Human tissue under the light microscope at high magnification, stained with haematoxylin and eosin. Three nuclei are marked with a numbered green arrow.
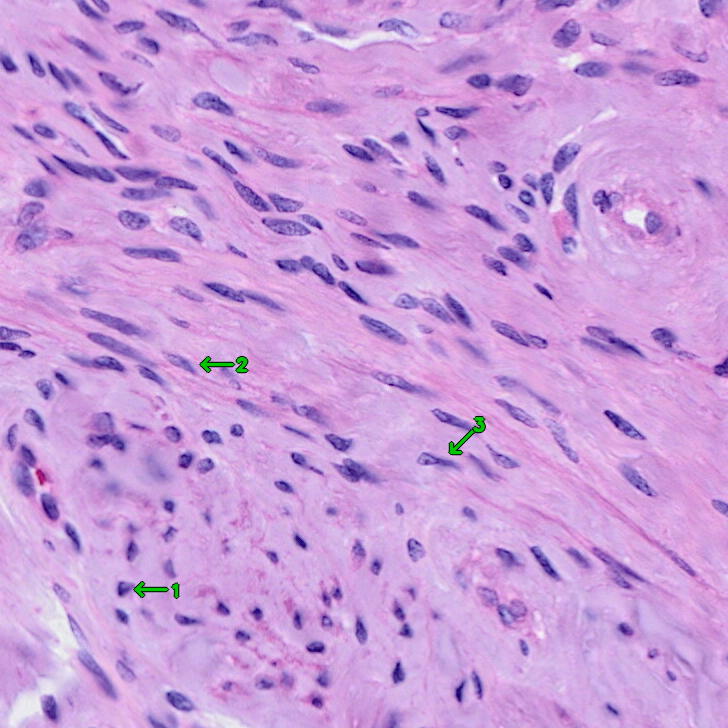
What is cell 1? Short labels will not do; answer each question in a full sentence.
Heads up, the cell numbered 1 is a fibroblast.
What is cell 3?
The cell bearing label 3 corresponds to a fibroblast.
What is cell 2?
The cell indicated with the number 2 is classed as a smooth muscle cell.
